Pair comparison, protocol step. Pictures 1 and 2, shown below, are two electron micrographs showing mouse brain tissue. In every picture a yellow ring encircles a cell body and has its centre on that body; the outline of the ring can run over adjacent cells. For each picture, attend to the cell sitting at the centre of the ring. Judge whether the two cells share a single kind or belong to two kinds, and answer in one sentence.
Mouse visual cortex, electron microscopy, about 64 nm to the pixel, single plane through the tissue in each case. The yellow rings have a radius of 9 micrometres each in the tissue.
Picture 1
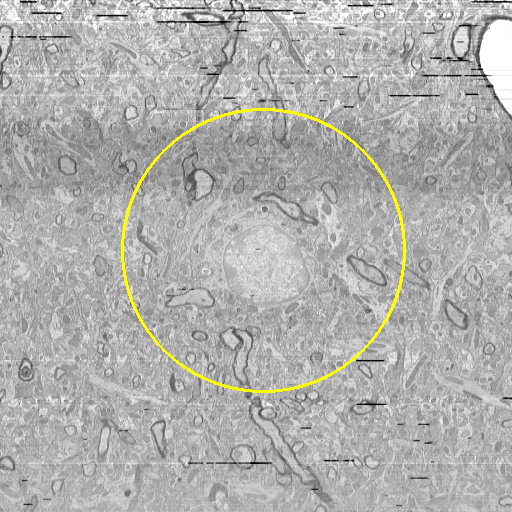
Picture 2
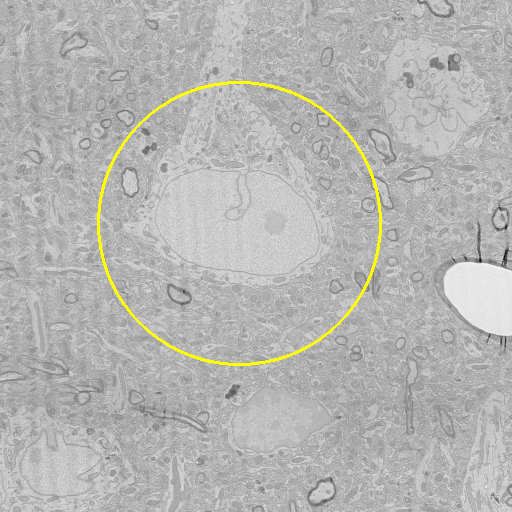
The two cells at the ring centres in Picture 1 and Picture 2 belong to two kinds.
